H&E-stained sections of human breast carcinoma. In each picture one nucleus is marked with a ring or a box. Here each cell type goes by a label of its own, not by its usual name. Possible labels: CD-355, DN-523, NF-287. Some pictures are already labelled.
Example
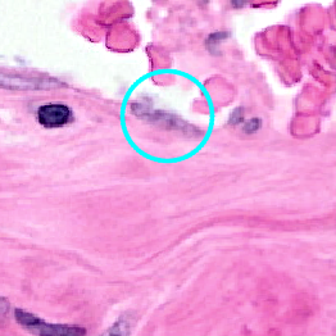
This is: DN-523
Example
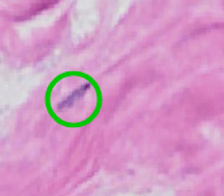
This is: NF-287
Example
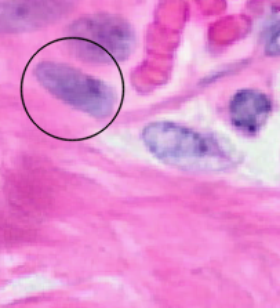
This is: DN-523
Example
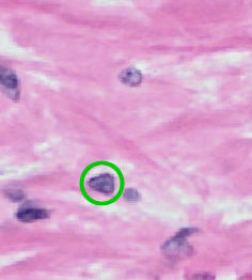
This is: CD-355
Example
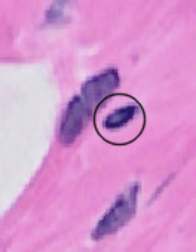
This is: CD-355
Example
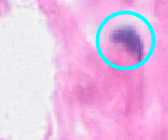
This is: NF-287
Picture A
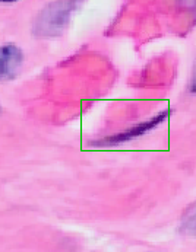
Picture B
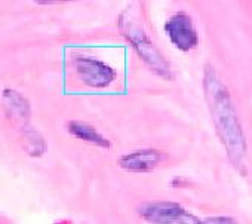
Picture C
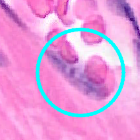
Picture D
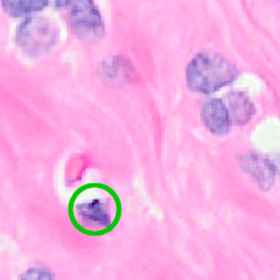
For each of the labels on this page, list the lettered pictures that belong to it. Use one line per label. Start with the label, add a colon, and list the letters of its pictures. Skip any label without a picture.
DN-523: A, B, C, D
